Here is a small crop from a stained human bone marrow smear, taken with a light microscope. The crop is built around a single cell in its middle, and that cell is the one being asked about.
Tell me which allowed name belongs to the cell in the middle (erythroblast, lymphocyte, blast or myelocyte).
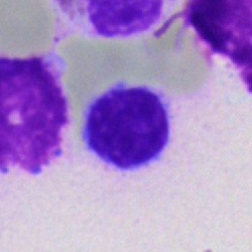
lymphocyte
